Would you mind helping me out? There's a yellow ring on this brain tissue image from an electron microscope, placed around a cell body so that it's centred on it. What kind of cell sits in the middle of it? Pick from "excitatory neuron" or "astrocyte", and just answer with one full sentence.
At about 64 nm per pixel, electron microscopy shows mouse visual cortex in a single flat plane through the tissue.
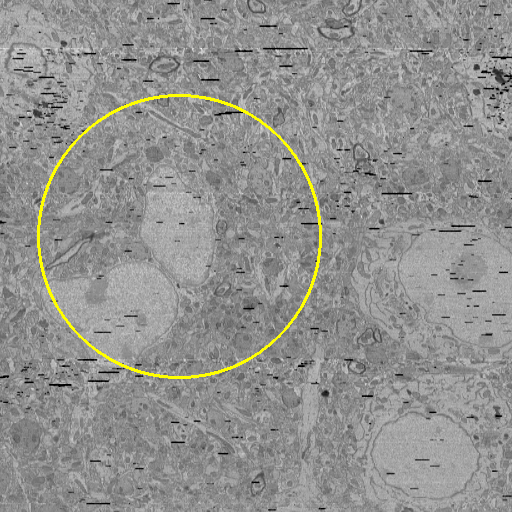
What sits in the middle of that yellow ring is an astrocyte, from your choices.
